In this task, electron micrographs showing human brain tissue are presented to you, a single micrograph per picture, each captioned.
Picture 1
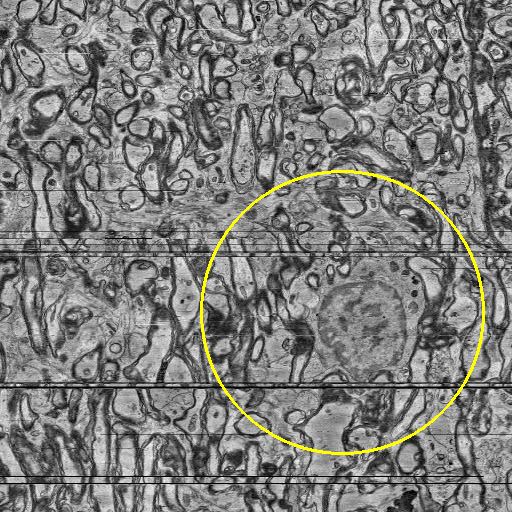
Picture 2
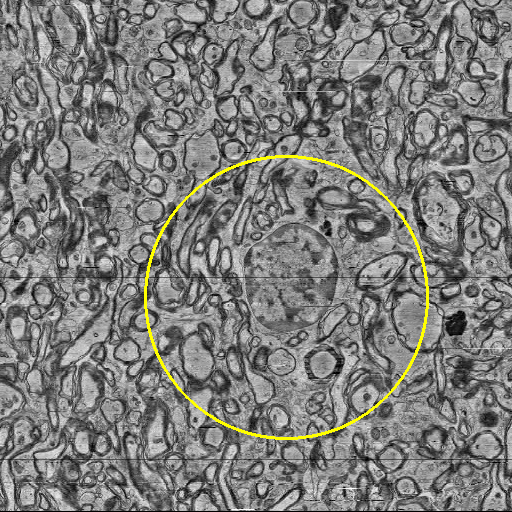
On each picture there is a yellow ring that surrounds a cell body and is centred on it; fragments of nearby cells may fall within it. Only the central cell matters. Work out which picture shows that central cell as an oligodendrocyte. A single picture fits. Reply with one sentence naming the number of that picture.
Of all the pictures, number 1 has the right cell in the centre of its ring.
